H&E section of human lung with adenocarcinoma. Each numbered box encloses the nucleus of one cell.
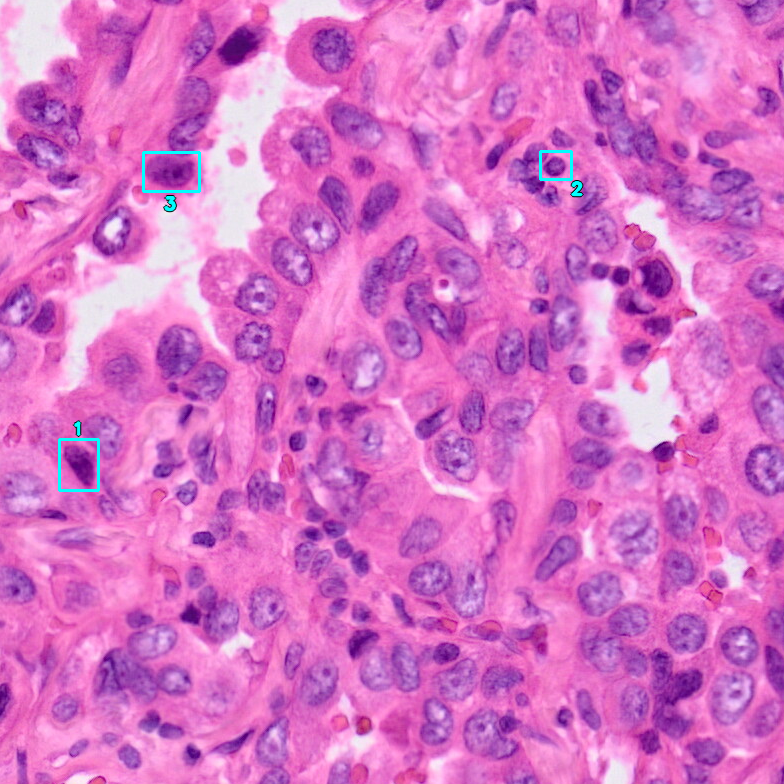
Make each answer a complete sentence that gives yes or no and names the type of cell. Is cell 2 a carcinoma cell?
No, at number 2 sits a lymphocyte, not a carcinoma cell.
